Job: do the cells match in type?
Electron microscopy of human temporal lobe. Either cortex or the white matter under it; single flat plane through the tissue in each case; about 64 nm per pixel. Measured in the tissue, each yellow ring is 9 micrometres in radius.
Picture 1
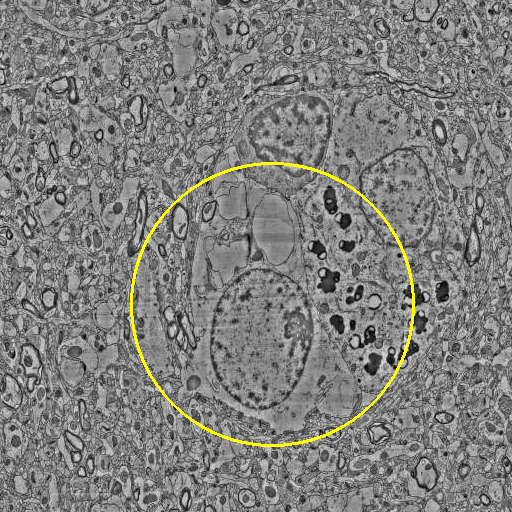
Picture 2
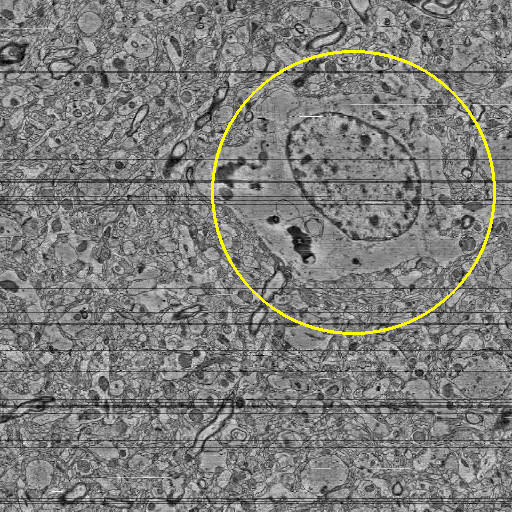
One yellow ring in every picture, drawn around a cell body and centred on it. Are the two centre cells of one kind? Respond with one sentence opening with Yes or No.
Yes, the ringed cells in the two pictures are of one and the same kind.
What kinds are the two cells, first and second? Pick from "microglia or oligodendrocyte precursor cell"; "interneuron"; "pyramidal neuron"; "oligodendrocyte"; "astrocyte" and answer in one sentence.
Both the first and the second picture show an astrocyte in the ring.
